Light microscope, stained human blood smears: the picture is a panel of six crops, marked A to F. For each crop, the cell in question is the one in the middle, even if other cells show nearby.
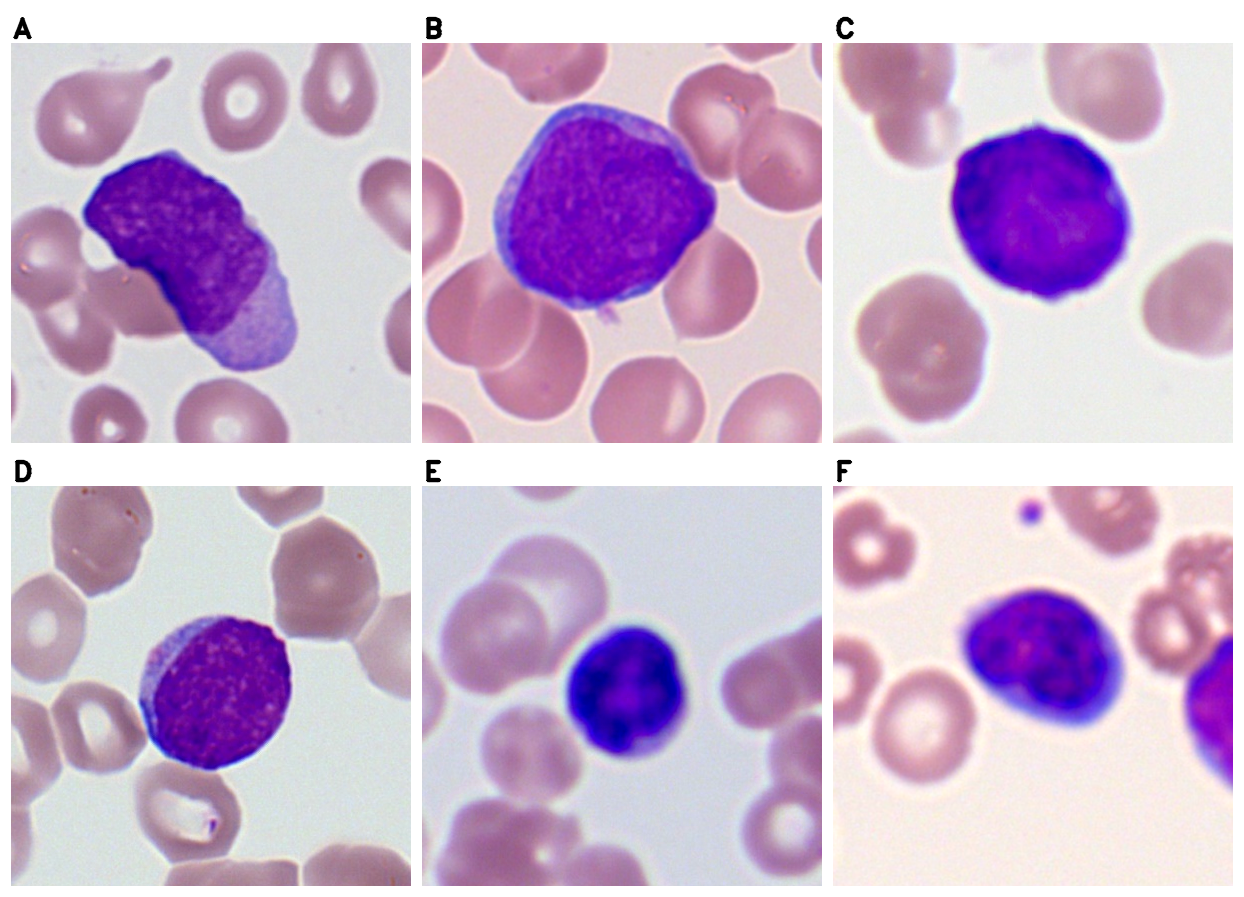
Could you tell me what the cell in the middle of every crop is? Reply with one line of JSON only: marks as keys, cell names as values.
{"A": "myeloblast", "B": "myeloblast", "C": "myeloblast", "D": "lymphocyte", "E": "lymphocyte", "F": "lymphocyte"}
